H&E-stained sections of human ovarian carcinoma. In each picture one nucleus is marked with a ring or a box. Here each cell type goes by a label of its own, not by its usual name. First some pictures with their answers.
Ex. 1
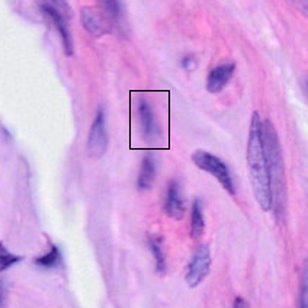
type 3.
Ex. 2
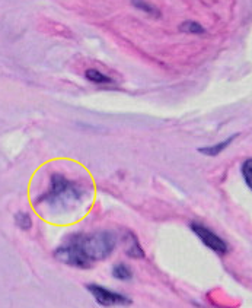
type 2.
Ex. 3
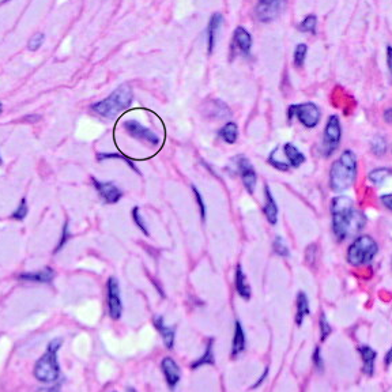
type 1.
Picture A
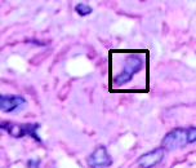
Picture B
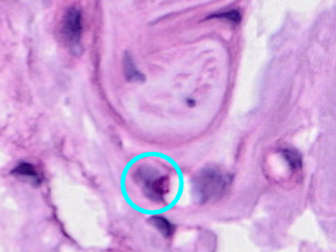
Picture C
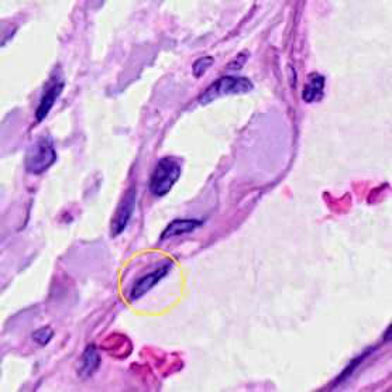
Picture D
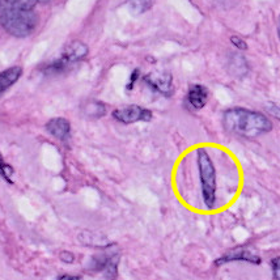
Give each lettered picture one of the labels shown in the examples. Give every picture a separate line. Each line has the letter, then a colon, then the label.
A: type 1.
B: type 2.
C: type 2.
D: type 1.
